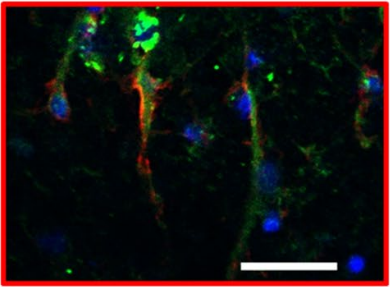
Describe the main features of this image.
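The cell bodies are small compared with the length of their branches, and blue nuclei sit at or near them. At the top there are bright green clumps. Between the cells the background is dark, with a few isolated blue nuclei, and the slender processes reach well across the field.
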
